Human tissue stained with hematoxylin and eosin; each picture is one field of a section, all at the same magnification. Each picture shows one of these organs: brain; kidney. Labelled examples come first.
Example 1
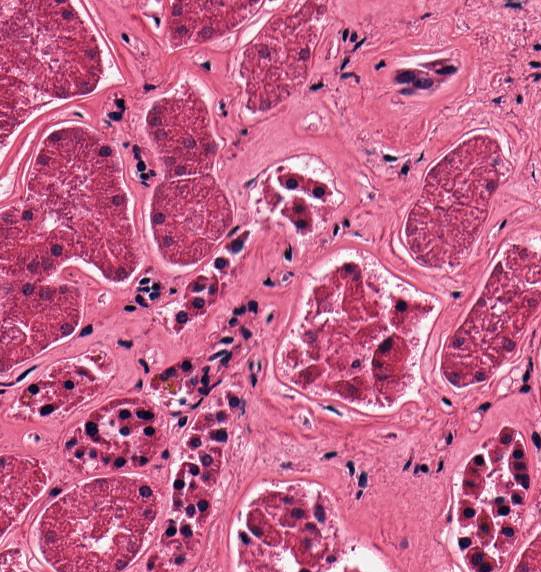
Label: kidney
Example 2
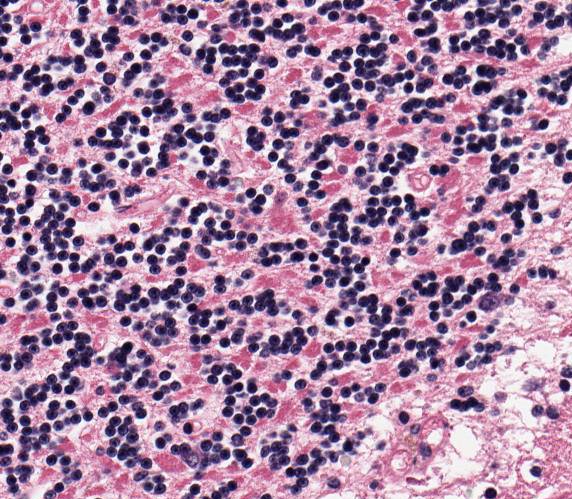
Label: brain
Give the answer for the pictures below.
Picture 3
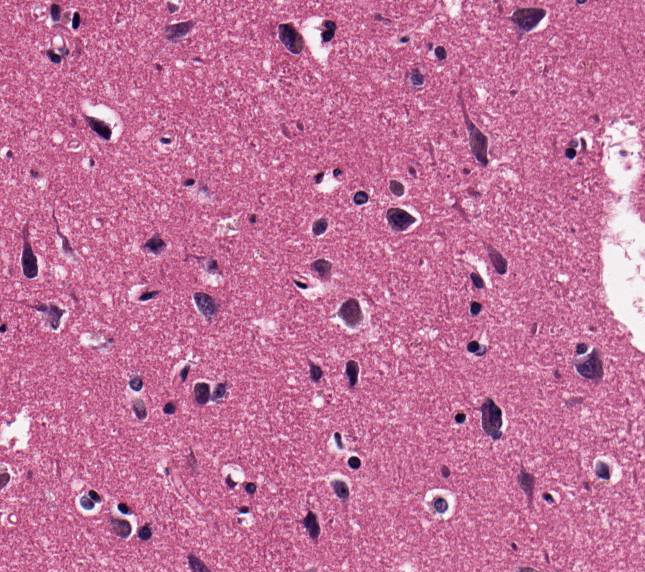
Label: brain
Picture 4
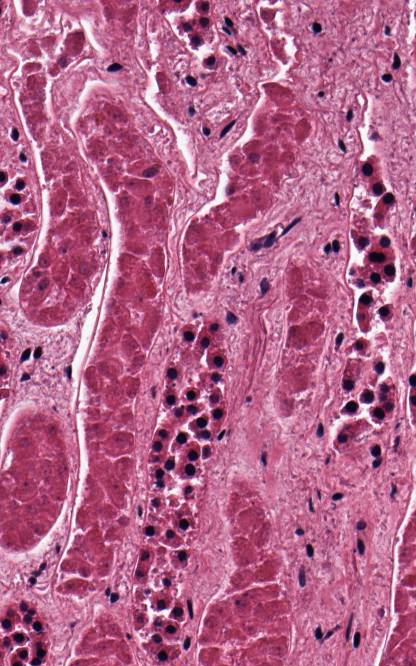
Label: kidney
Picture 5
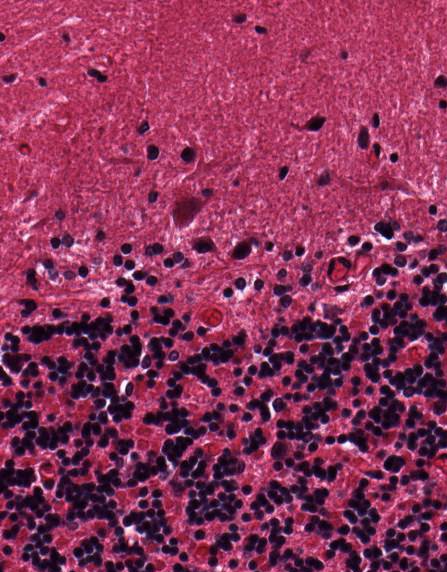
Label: brain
